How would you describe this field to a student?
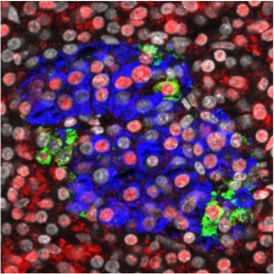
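A pancreatic islet appears as a compact, rounded cluster of endocrine cells set within surrounding tissue. Most islet cells have blue-stained cytoplasm surrounding round nuclei, many of which carry red nuclear staining. Smaller numbers of cells with bright green cytoplasm lie mainly along the edge of the cluster and in small groups within it. Grey-stained nuclei are densely packed throughout the surrounding tissue, where many nuclei also show red staining.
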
